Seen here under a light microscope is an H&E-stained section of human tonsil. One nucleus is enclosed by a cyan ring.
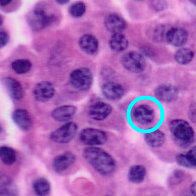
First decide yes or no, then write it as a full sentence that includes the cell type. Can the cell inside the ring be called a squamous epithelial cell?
No, the correct identification of the cell inside the ring is a plasma cell, not a squamous epithelial cell.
